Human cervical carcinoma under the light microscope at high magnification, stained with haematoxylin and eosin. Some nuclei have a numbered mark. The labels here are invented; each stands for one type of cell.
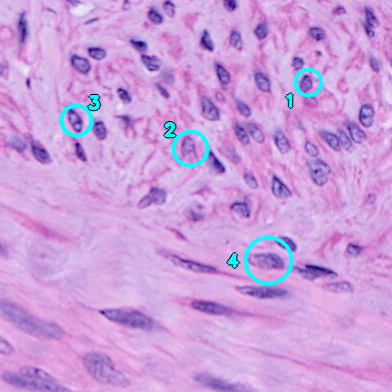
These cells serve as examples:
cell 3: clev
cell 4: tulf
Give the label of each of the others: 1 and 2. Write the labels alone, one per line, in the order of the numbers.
clev
clev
